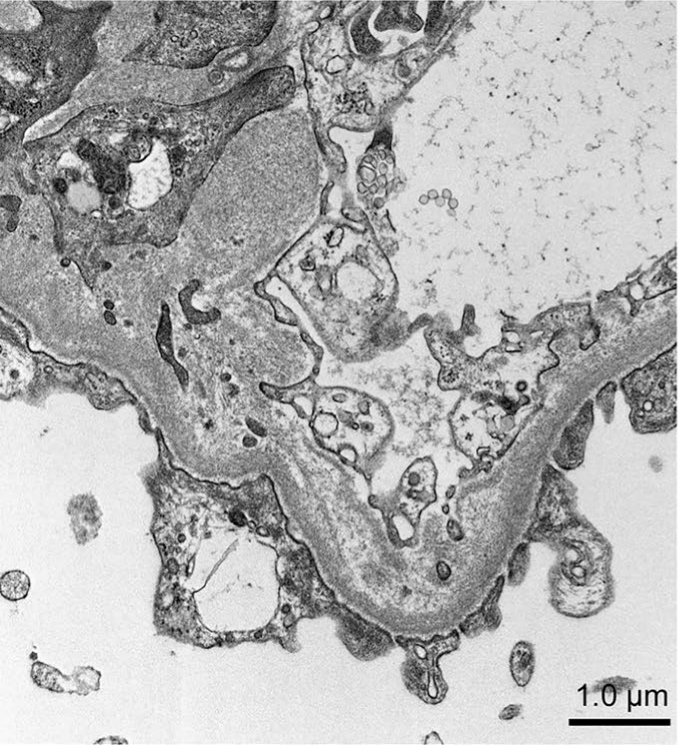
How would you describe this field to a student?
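A curved glomerular basement membrane runs through the field as a broad grey band, much wider in places and uneven in thickness. Its texture is mottled and layered rather than smooth, and small foot processes line one surface while cells with vacuoles and organelles lie against the other side.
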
